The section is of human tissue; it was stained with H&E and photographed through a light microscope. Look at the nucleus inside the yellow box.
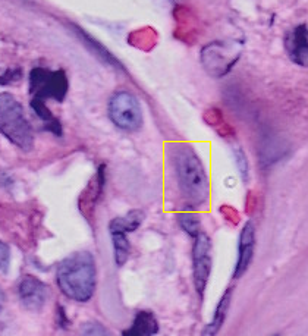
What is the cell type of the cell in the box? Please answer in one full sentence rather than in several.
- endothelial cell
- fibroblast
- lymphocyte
In the stained section, the cell in the box is an endothelial cell.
